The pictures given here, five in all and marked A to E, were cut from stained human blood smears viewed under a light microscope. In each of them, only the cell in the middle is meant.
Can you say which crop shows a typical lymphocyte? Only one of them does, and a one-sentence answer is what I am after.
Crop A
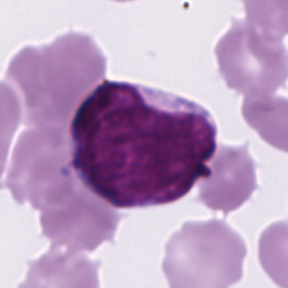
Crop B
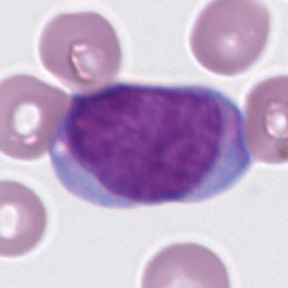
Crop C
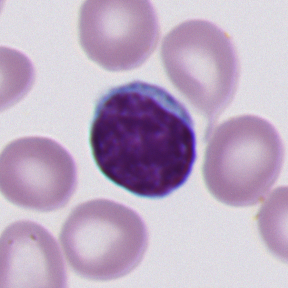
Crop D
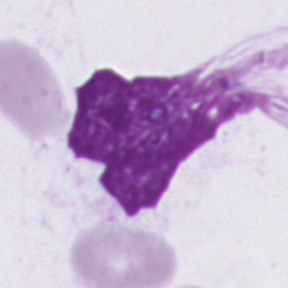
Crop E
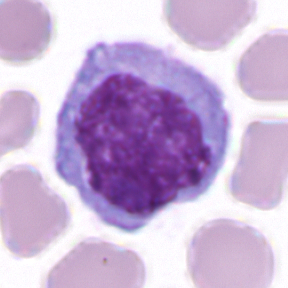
Crop C is the crop that displays a typical lymphocyte.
